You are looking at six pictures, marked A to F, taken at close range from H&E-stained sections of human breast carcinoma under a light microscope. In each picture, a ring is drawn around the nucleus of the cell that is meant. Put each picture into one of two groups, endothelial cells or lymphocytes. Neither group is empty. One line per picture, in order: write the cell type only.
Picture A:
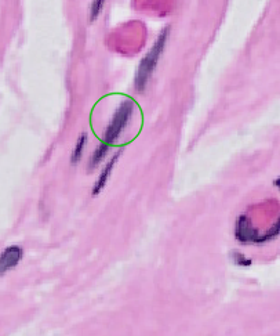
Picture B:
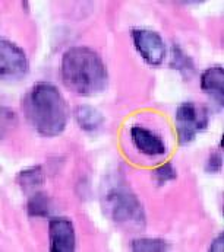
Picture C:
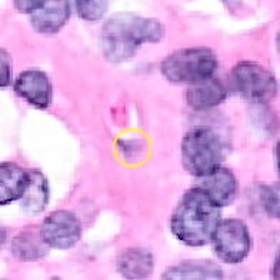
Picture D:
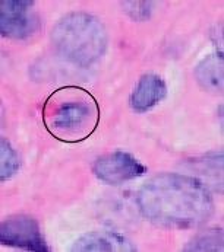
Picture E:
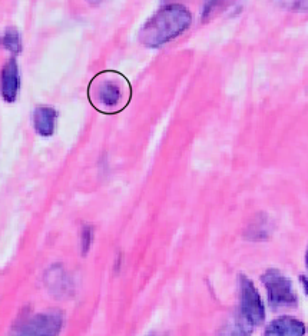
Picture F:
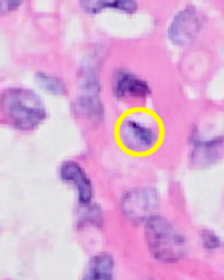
endothelial cell
lymphocyte
endothelial cell
endothelial cell
lymphocyte
endothelial cell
